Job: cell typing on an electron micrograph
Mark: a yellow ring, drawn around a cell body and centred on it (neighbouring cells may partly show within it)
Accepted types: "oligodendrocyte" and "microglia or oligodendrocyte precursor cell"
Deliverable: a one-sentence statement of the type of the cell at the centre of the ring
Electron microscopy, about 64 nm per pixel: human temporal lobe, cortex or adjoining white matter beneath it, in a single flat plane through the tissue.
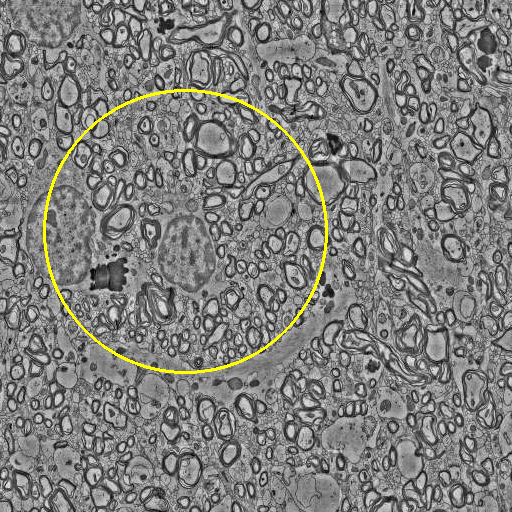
The centred cell body is that of an oligodendrocyte.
